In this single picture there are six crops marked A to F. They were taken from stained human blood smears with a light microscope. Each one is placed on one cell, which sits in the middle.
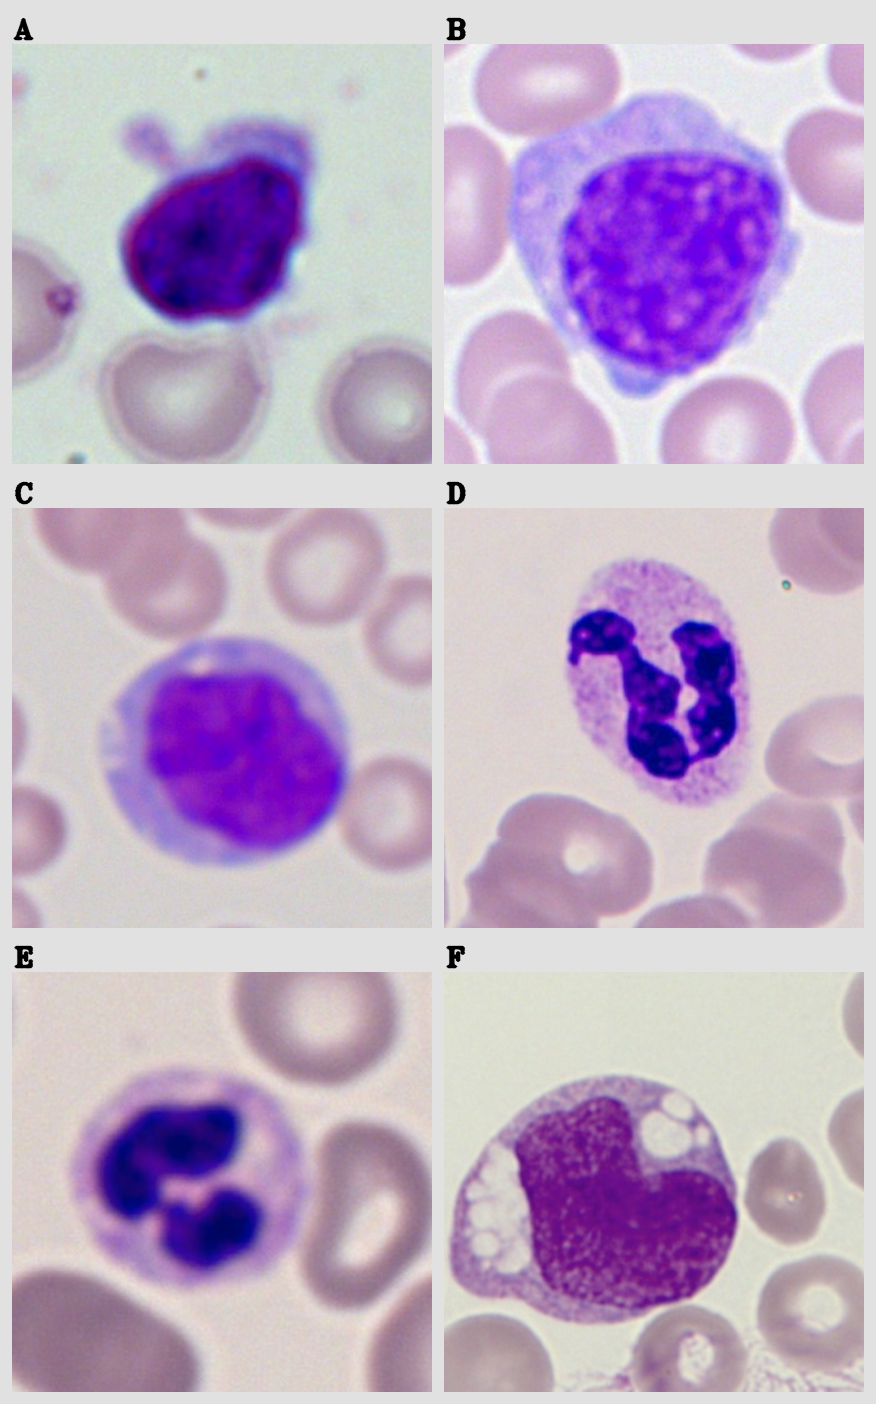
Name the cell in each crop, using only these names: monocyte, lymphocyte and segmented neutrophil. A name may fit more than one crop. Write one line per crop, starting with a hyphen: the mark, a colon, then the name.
- A: lymphocyte
- B: monocyte
- C: monocyte
- D: segmented neutrophil
- E: segmented neutrophil
- F: monocyte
